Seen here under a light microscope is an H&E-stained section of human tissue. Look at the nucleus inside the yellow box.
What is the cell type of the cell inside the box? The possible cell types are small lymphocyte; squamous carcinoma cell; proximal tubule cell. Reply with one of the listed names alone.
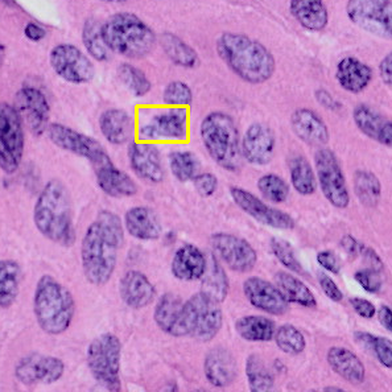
squamous carcinoma cell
